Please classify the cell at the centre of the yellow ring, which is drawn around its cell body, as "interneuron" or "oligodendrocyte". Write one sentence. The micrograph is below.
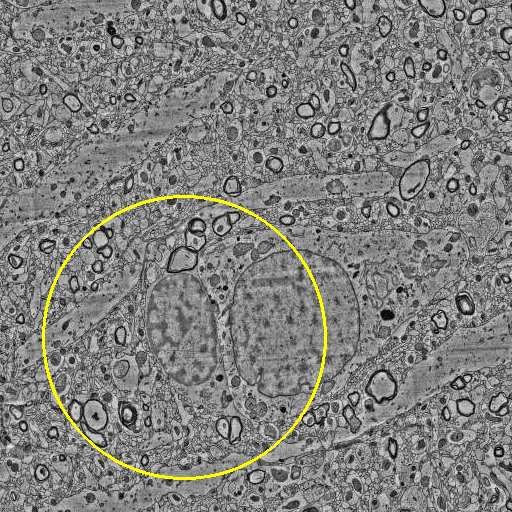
The cell at the ring's centre is classified as an oligodendrocyte.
